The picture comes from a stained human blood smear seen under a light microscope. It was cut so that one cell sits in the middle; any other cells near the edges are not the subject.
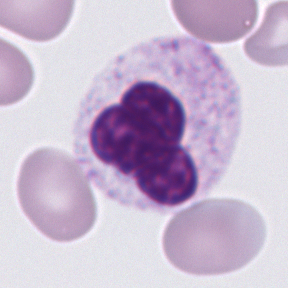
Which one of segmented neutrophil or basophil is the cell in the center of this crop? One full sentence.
Where the crop is centred, there is a segmented neutrophil.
